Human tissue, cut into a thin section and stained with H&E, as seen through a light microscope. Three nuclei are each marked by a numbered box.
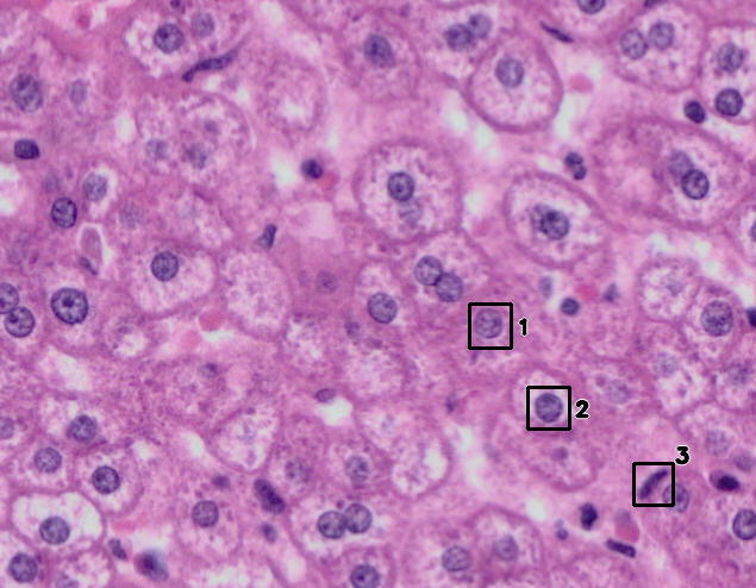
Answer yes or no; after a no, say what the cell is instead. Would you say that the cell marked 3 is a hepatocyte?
No, it is a fibroblast or stellate cell.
